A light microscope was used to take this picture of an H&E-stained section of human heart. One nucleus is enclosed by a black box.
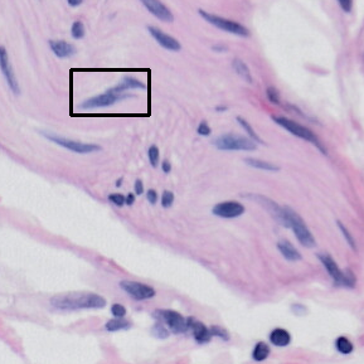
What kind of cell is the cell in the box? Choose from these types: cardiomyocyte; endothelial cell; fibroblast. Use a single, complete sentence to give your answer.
Speaking plainly, the cell in the box is nothing other than a fibroblast.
